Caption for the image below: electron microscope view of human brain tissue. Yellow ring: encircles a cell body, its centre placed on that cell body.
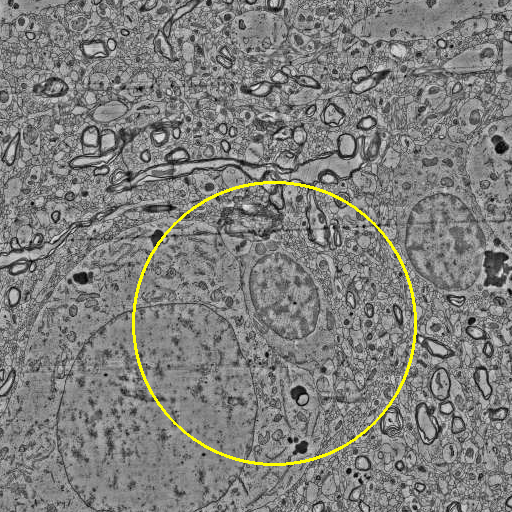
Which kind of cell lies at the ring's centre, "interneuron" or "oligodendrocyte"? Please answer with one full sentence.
The picture shows an oligodendrocyte at the centre of the yellow ring.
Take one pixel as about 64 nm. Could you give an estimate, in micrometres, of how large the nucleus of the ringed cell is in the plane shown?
In this plane, the nucleus is roughly 6 by 4 micrometres.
